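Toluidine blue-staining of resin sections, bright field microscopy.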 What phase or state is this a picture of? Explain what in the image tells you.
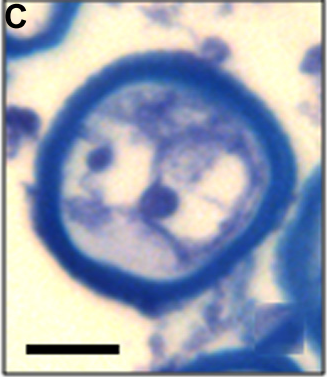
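Two dark nuclei lie side by side inside one round thick-walled cell. So: Two-celled microspores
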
